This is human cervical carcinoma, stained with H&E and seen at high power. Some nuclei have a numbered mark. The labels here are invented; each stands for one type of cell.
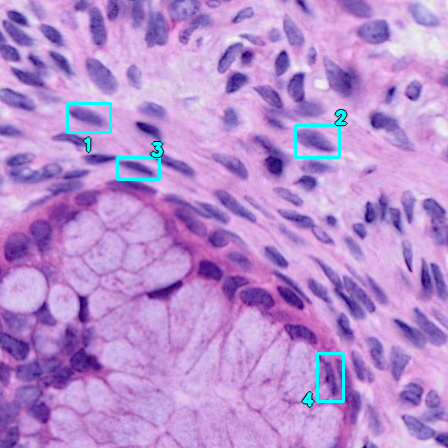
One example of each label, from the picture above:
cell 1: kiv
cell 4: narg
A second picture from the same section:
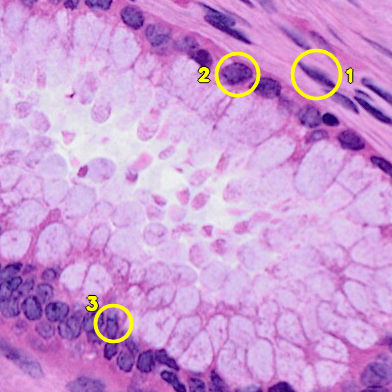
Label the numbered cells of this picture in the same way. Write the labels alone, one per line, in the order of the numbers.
kiv
narg
narg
